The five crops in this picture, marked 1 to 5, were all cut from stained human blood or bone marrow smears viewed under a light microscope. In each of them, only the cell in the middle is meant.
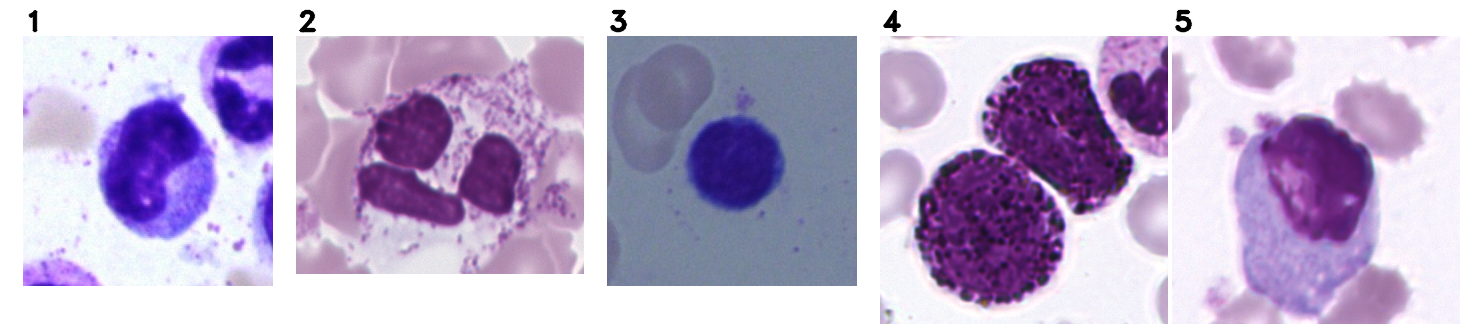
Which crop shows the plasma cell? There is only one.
5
